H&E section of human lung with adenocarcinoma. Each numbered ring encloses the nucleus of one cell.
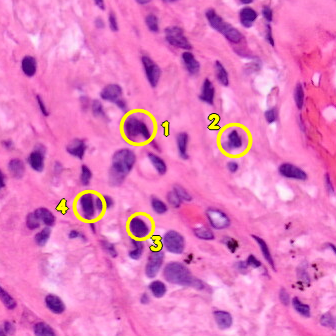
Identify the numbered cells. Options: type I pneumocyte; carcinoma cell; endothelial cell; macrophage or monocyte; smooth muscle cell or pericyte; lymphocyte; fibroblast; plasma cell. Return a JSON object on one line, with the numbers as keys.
{"1": "plasma cell", "2": "lymphocyte", "3": "lymphocyte", "4": "lymphocyte"}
